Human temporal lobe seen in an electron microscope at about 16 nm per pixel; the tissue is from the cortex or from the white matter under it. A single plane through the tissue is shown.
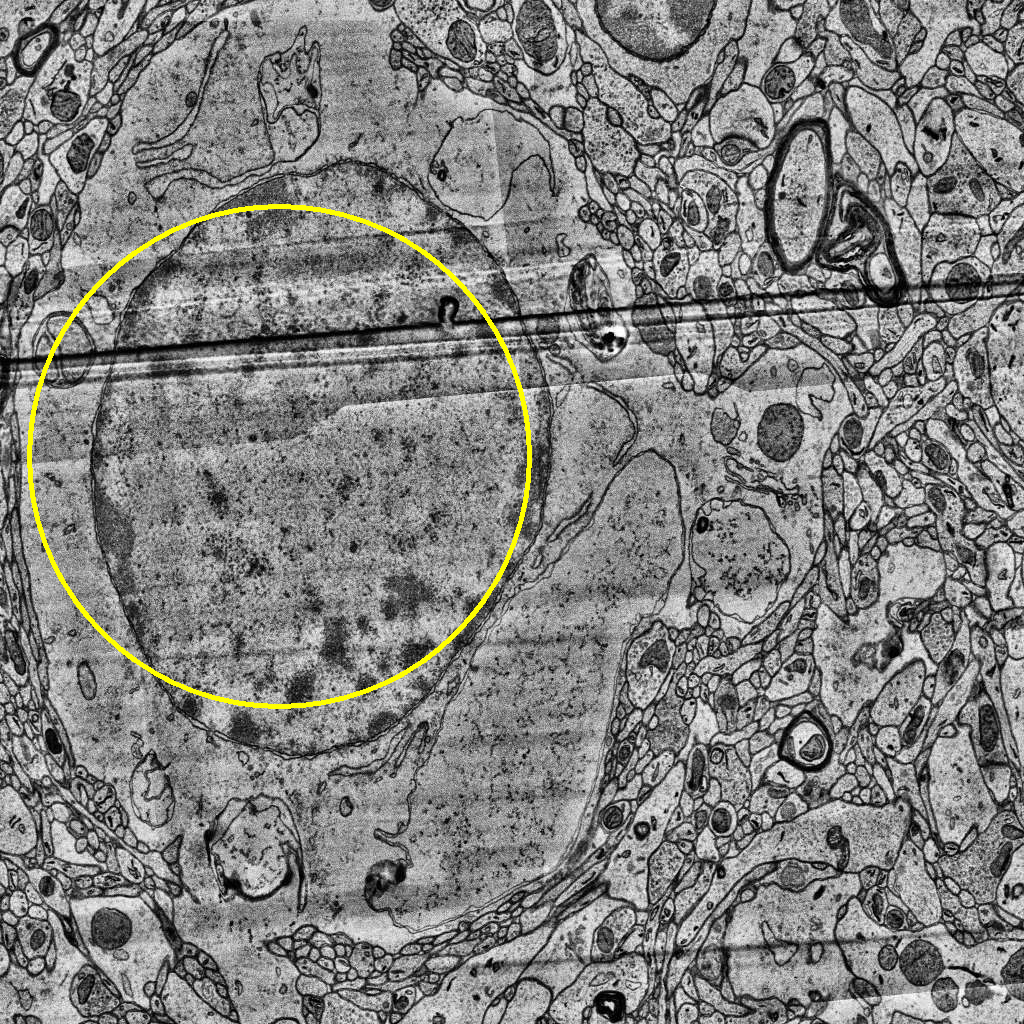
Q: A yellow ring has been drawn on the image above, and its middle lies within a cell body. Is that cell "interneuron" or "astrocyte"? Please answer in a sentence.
The ring's middle lies in the cell body of an astrocyte.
